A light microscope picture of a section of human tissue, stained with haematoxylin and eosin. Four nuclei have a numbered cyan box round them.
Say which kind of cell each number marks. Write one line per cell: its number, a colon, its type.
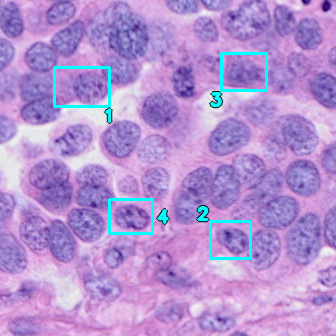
1: carcinoma cell
2: macrophage or monocyte
3: carcinoma cell
4: macrophage or monocyte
